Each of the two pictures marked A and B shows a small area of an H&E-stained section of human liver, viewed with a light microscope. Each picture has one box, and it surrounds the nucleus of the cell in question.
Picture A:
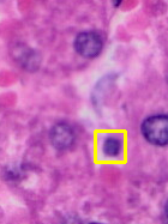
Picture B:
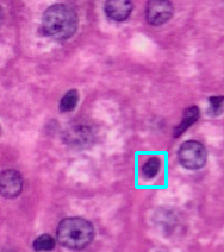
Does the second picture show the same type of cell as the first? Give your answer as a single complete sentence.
Yes, both cells are lymphocytes.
